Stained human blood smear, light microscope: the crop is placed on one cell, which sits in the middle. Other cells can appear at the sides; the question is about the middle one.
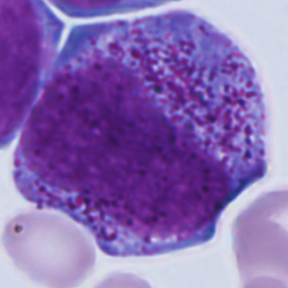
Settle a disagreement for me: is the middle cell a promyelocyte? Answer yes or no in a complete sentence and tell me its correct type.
Yes, the cell found at the centre of the crop is a promyelocyte.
